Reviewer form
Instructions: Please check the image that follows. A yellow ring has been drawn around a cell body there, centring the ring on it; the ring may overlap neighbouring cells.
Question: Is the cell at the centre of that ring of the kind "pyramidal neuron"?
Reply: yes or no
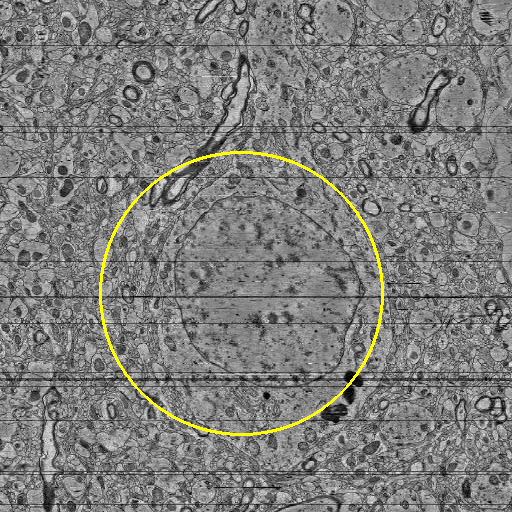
yes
